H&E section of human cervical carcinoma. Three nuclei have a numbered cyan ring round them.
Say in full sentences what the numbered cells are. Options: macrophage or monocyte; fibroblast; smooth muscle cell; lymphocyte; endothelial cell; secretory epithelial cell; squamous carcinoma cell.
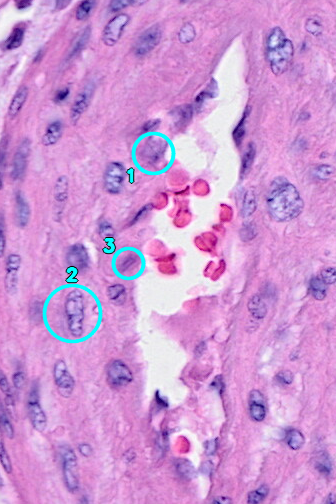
Cell 1 is an endothelial cell, cell 2 is a smooth muscle cell and cell 3 is an endothelial cell.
